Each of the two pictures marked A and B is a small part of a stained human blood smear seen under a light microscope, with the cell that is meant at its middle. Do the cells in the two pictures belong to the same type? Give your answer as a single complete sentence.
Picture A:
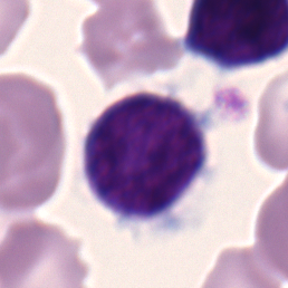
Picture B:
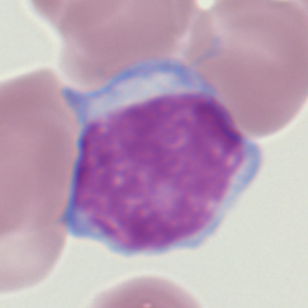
No; the cell in picture A is a hairy cell, while the one in picture B is a typical lymphocyte.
